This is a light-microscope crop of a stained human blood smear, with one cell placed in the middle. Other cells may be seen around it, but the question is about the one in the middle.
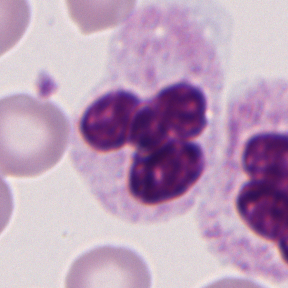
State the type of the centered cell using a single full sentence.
For this crop, the cell in the middle is a segmented neutrophil.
